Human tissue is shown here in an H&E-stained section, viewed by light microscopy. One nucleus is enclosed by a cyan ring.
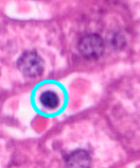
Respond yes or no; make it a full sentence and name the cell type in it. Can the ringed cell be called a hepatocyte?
No. Look again: the ringed cell is a lymphocyte, not a hepatocyte.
